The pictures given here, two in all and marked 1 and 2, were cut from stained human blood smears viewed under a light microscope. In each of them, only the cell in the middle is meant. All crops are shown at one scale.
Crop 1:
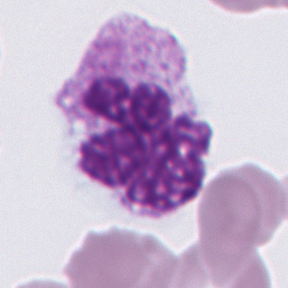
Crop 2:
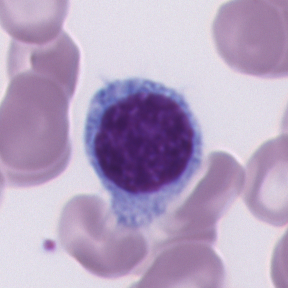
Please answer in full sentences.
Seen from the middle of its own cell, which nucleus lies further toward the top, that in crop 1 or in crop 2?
The nucleus in crop 2 lies further toward the top of its cell.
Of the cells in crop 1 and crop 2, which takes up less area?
Crop 2 holds the smaller cell, since the cell in crop 1 covers about 1.5 times as much area.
